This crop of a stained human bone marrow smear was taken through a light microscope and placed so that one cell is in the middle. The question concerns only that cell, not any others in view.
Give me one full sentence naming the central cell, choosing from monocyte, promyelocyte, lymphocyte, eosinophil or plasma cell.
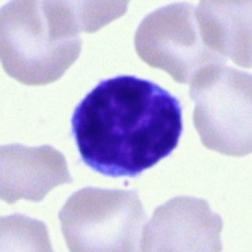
The cell in the exact centre of the crop is a lymphocyte.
